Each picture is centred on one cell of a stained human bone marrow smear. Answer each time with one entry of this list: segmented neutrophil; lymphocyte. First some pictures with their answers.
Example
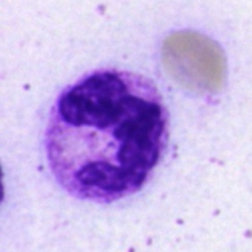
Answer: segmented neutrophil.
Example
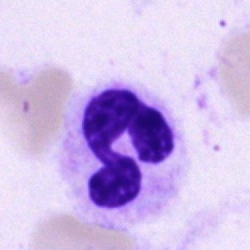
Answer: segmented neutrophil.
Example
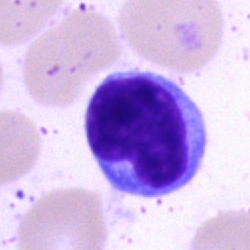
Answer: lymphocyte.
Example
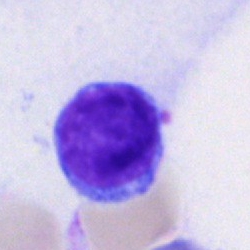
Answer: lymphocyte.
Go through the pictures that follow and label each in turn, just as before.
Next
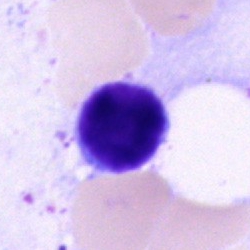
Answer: lymphocyte.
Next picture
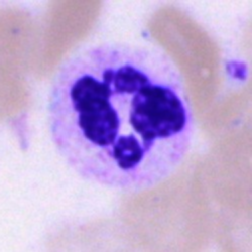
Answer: segmented neutrophil.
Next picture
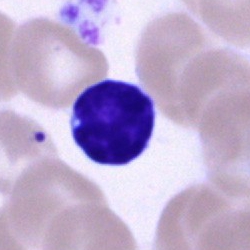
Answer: lymphocyte.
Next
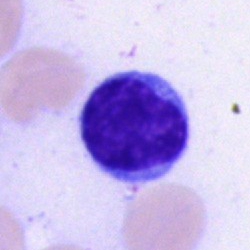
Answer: lymphocyte.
